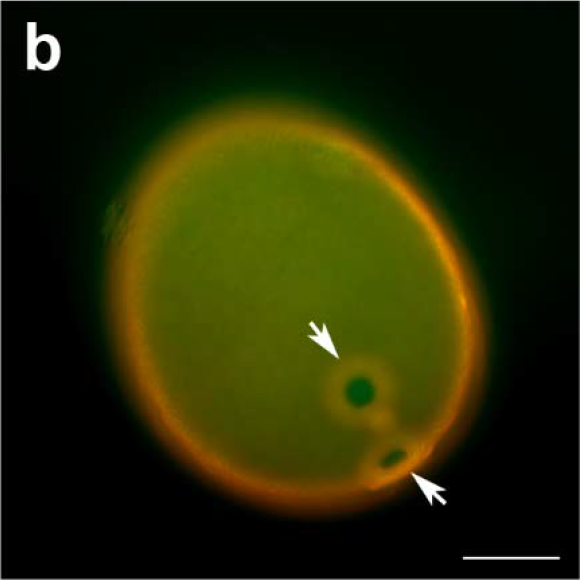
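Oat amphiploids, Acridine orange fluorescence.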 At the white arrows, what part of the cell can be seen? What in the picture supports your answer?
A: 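Poruses. Two small round openings, each with a pale ring around a dark centre, are marked. One lies on the face of the grain, the other near its margin.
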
